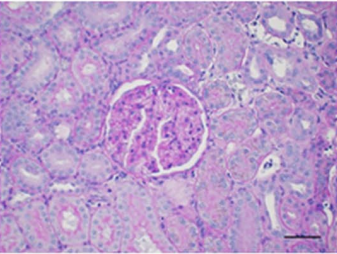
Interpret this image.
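This is kidney cortex, with a glomerulus in the centre and tubules of the cortex packed around it. The glomerular tuft is large and cellular, with a clear space between it and the surrounding capsule. Many of the surrounding tubules are lined by epithelium with a bluish-grey, rather than pink, cytoplasm, and several tubular lumens look widened. Between the tubules, small dark nuclei are scattered in the interstitium.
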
